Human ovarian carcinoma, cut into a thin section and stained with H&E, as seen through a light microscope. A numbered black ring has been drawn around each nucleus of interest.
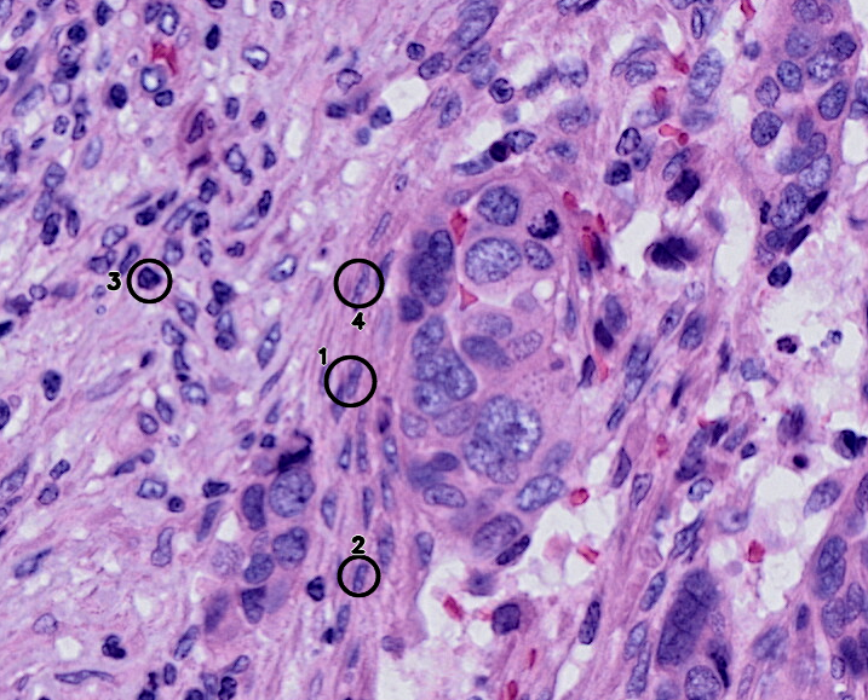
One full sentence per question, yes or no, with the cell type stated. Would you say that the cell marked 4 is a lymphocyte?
No, cell number 4 is identified as a fibroblast, not as a lymphocyte.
